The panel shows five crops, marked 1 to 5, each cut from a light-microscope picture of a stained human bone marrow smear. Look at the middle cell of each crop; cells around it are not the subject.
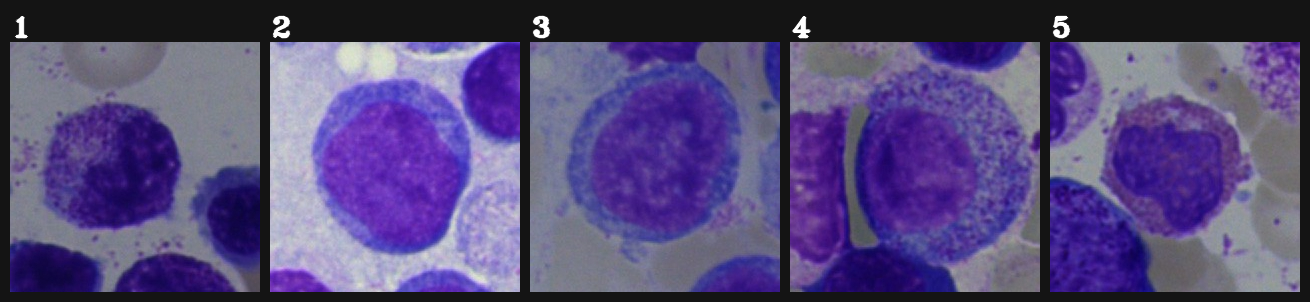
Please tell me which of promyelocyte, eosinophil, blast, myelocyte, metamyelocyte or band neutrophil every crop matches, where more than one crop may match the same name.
1: metamyelocyte
2: blast
3: blast
4: promyelocyte
5: eosinophil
